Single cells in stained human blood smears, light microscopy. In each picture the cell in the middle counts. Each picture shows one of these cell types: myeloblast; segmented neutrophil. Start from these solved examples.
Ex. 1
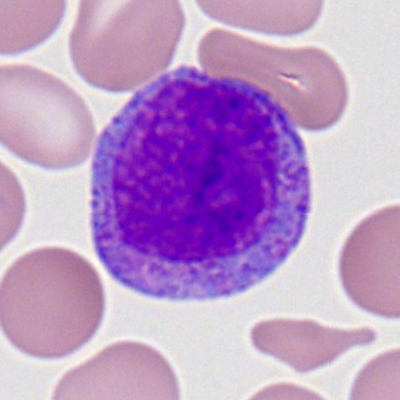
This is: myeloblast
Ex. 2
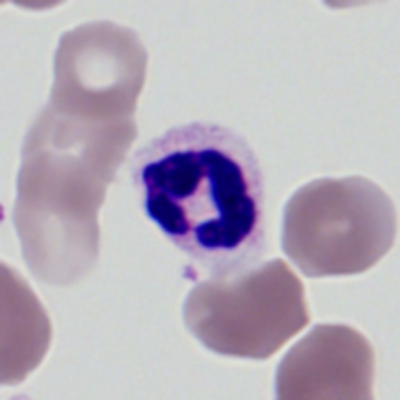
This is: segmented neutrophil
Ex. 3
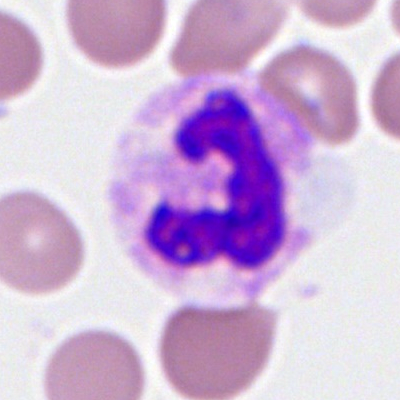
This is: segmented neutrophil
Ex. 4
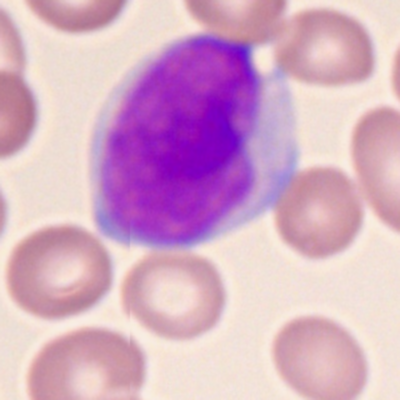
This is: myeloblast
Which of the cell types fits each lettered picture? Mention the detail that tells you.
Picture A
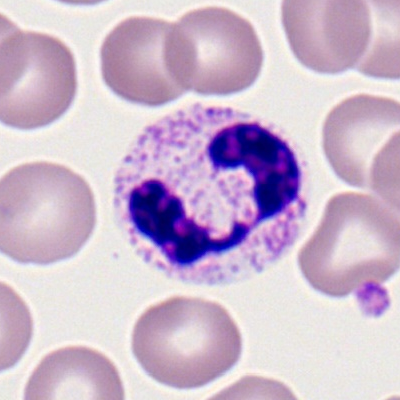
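segmented neutrophil. The cytoplasm is abundant and pale pinkish-lilac.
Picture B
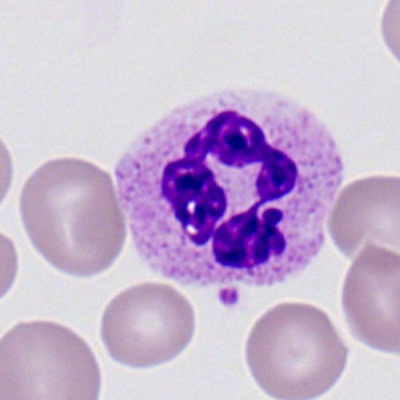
segmented neutrophil. The cytoplasm is abundant and pale pinkish-lilac.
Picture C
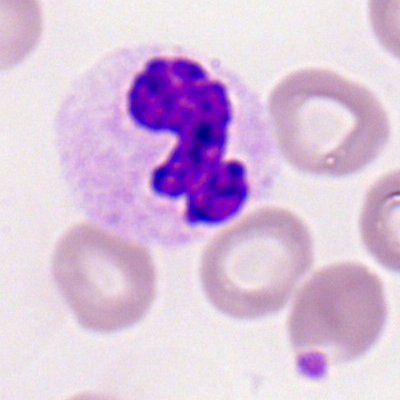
segmented neutrophil. The cytoplasm is plentiful and pale pinkish-lilac.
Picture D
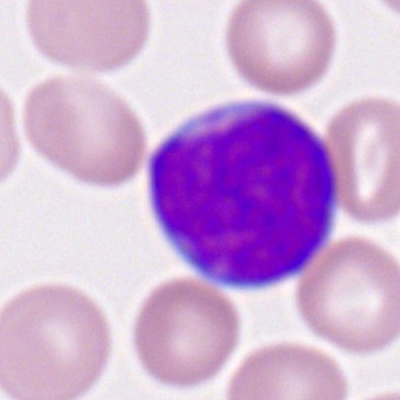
myeloblast. Only a very thin rim of cytoplasm is visible around the nucleus.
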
